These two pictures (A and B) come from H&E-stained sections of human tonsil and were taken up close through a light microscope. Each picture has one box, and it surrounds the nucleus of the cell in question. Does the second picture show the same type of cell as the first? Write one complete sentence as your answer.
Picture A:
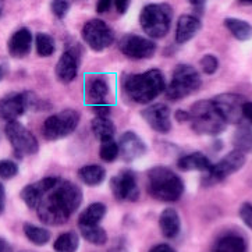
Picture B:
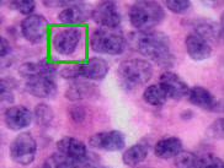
Yes, both are proliferating B cells.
